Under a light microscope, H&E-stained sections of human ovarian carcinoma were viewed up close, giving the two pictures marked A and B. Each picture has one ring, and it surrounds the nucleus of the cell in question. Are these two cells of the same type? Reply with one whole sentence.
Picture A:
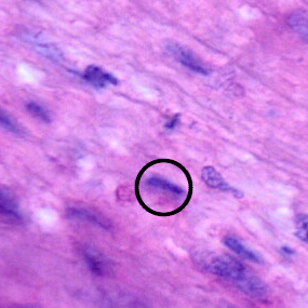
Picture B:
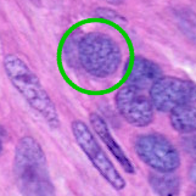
No, they differ: the cell is a “macrophage or monocyte” in picture A and a carcinoma cell in picture B.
